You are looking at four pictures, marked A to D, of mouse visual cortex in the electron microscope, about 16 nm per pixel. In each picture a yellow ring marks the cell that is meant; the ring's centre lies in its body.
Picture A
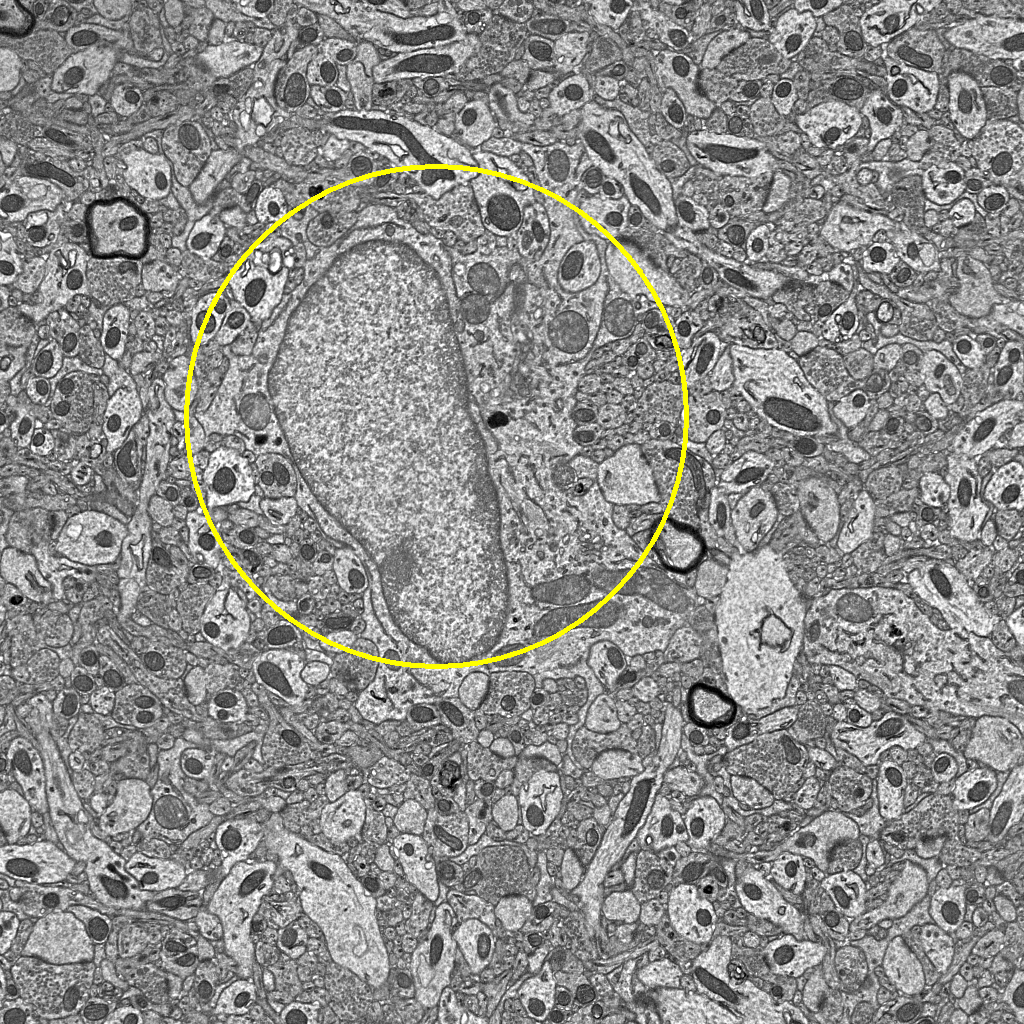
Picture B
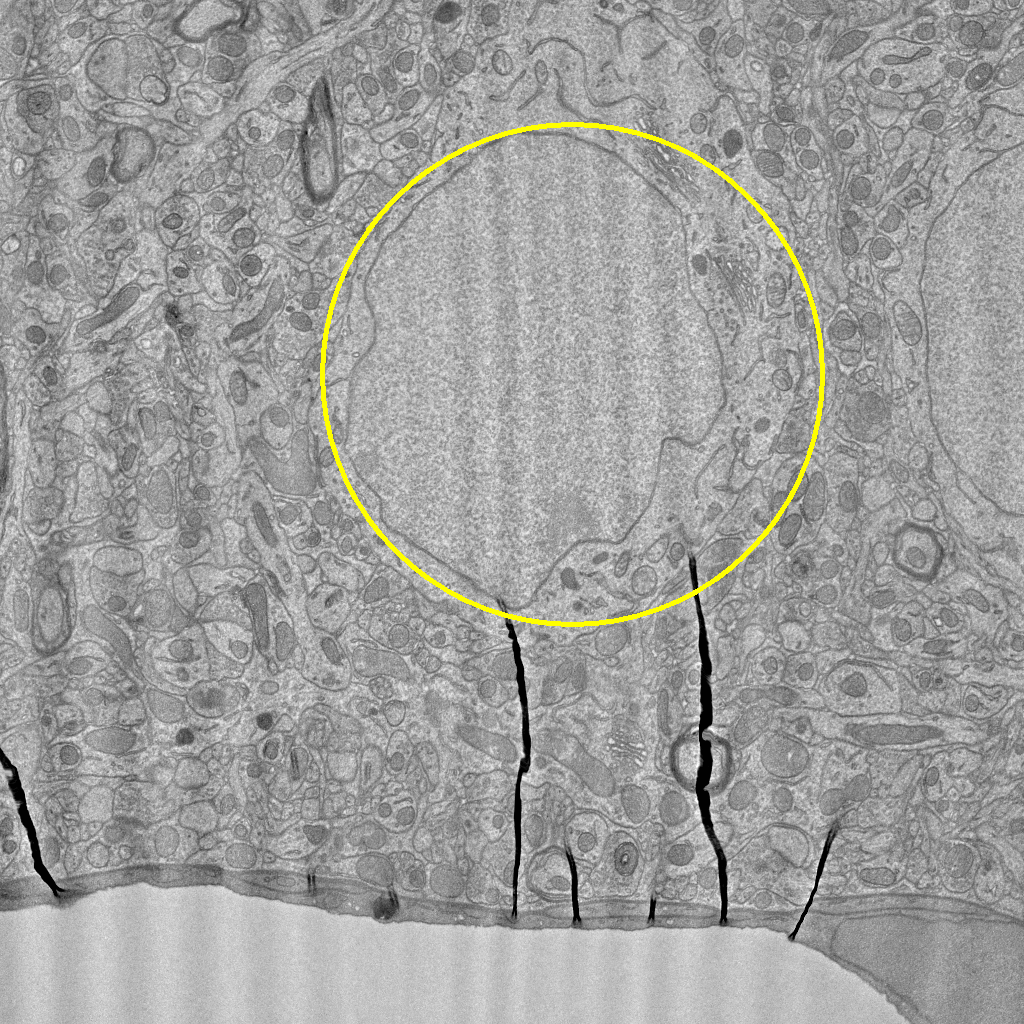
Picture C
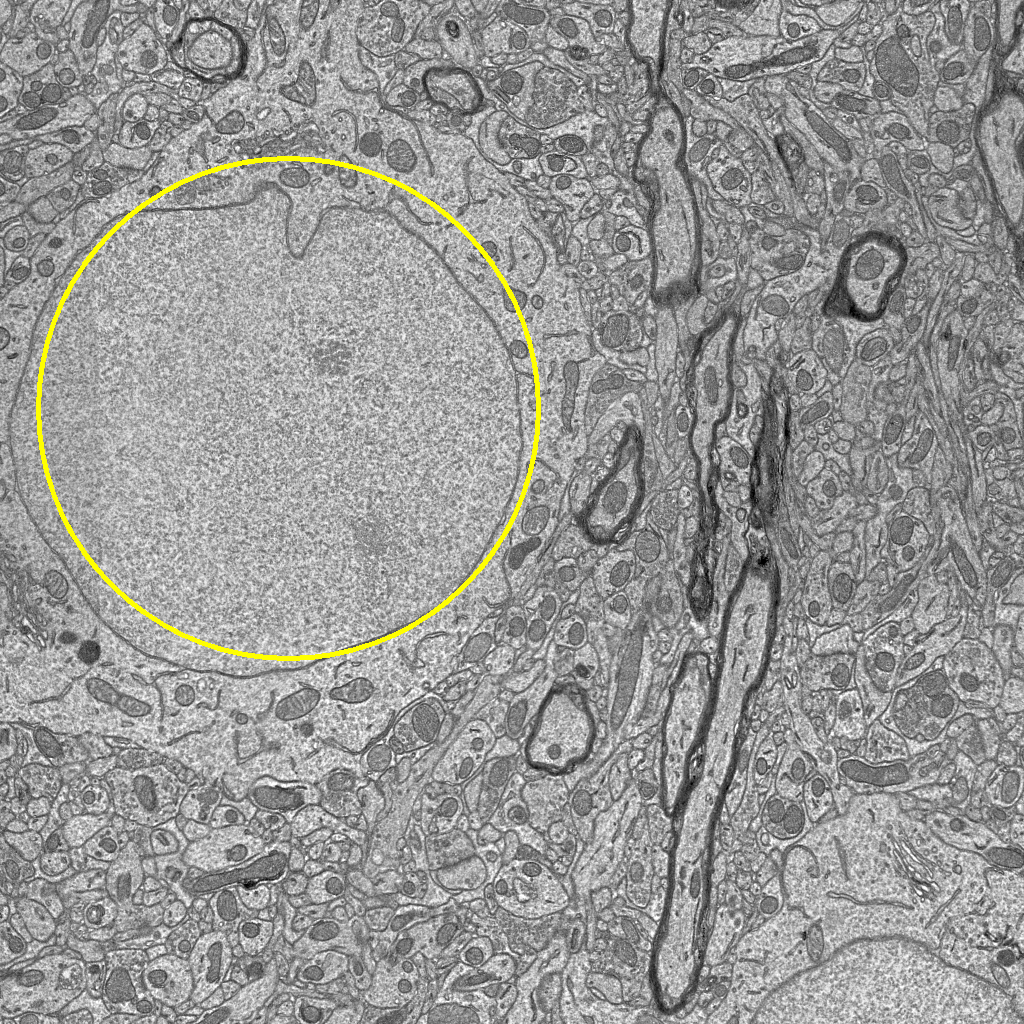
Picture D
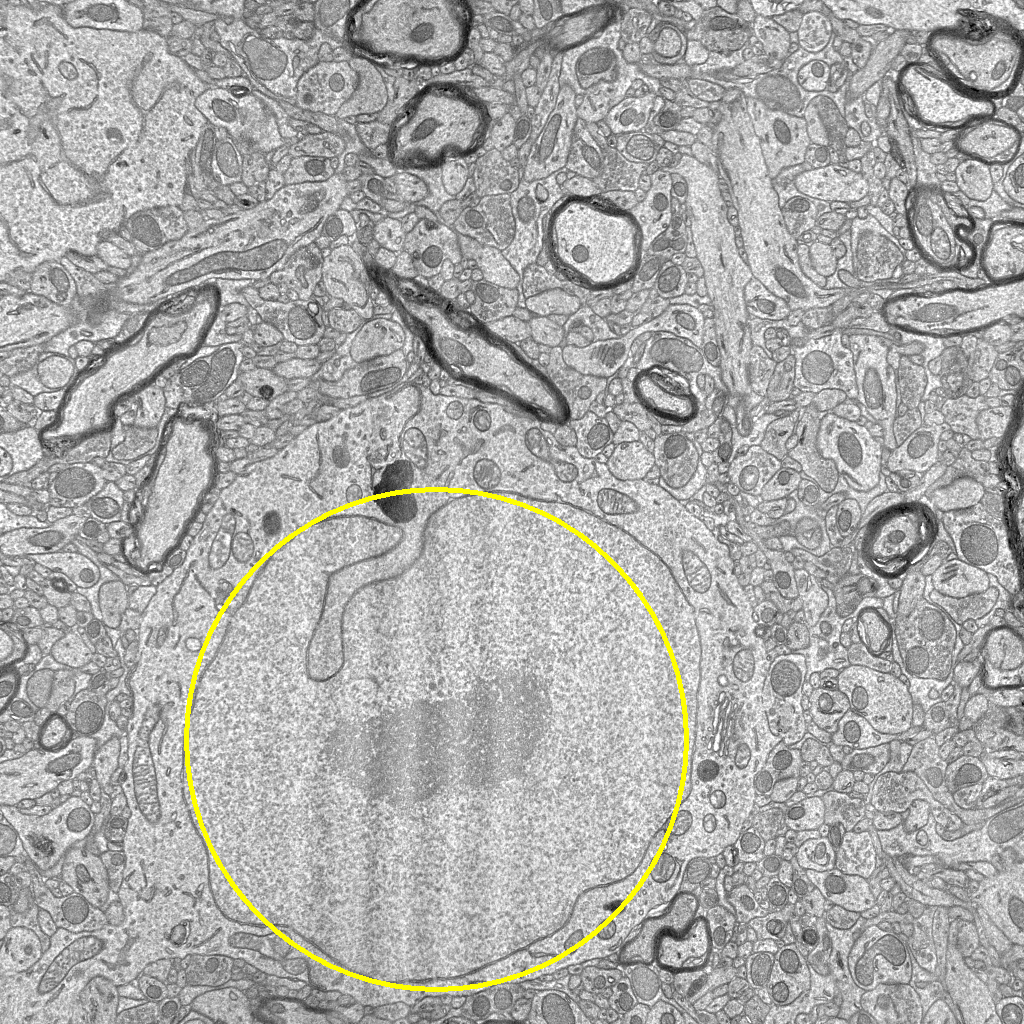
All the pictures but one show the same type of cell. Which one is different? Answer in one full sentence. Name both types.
Picture A is the odd one out: it shows an astrocyte, while the others show excitatory neurons.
